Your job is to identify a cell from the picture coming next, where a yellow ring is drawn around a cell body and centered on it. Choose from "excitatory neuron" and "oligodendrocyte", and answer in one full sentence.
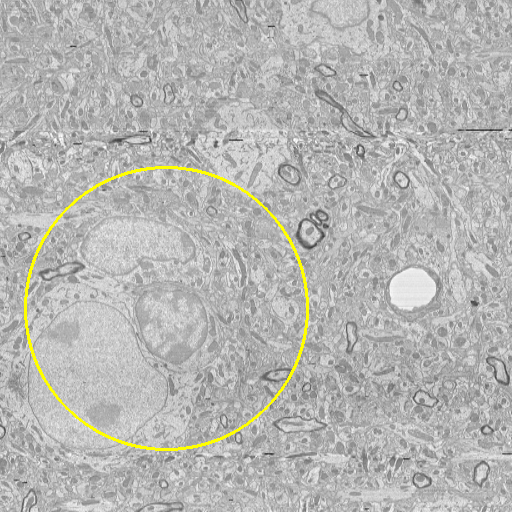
Centered in the yellow ring of the picture is the body of an oligodendrocyte.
